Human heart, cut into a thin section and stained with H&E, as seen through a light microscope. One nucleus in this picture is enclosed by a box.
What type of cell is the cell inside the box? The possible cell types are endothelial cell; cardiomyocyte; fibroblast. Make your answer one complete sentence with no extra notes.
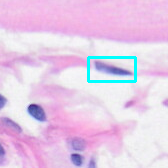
As classified here, the cell inside the box is a fibroblast.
